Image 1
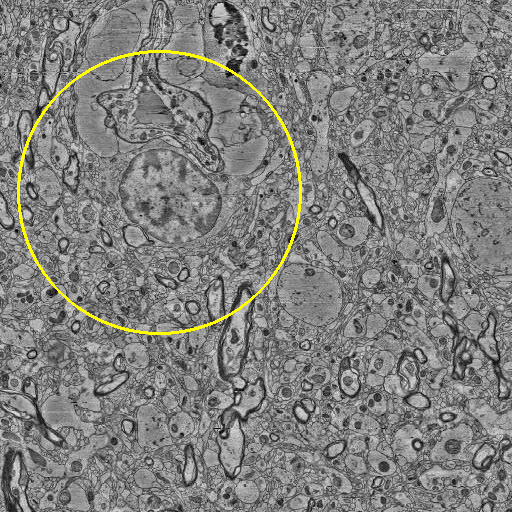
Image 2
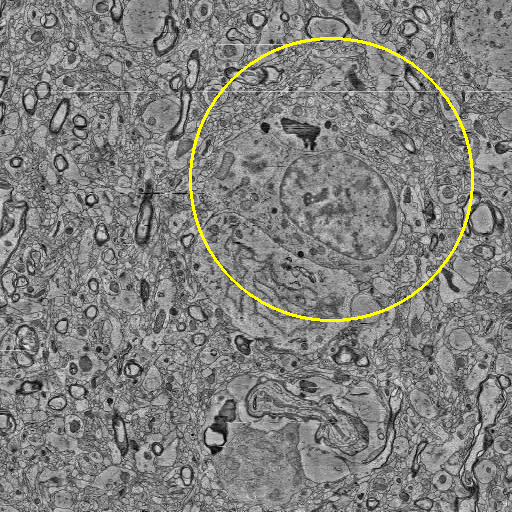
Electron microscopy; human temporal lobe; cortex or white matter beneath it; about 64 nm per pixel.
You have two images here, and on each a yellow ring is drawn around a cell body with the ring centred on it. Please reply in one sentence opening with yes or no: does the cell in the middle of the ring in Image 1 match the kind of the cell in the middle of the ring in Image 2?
Yes, the two images show cells of one kind at the centres of their rings.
